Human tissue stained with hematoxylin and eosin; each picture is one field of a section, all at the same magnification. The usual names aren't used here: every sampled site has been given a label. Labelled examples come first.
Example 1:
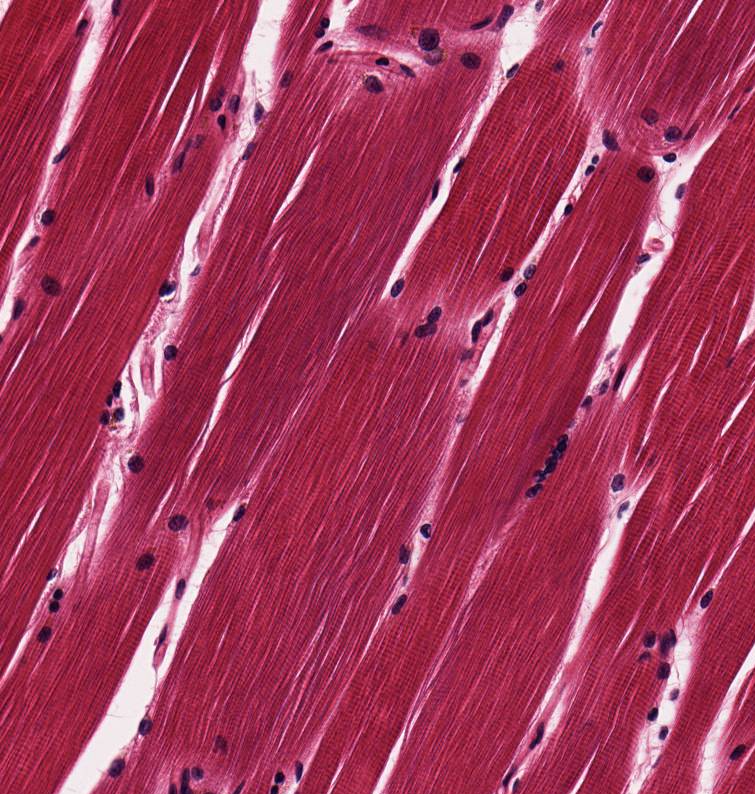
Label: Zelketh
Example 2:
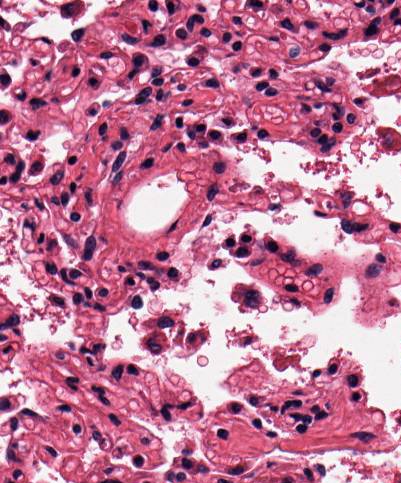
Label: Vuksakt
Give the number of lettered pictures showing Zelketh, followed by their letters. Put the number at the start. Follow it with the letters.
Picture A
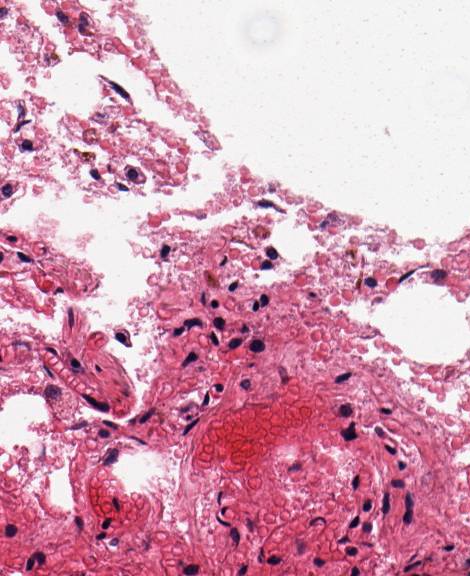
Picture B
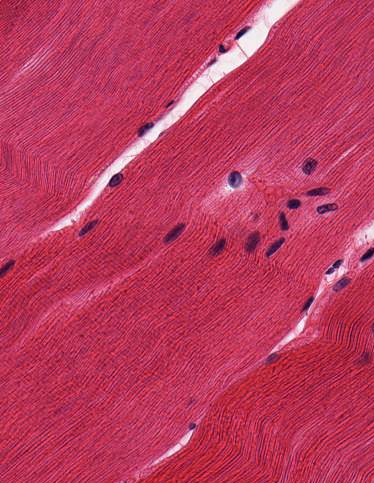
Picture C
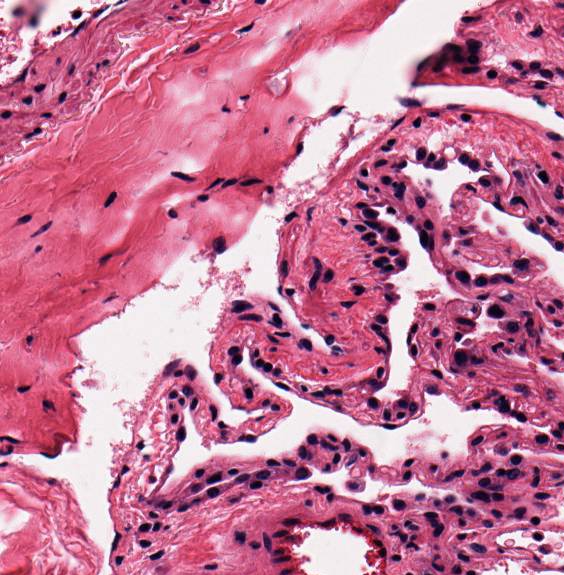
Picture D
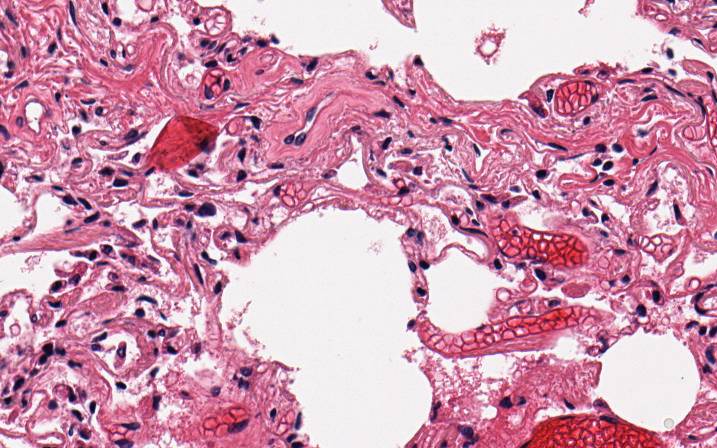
Count: 1 (B)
